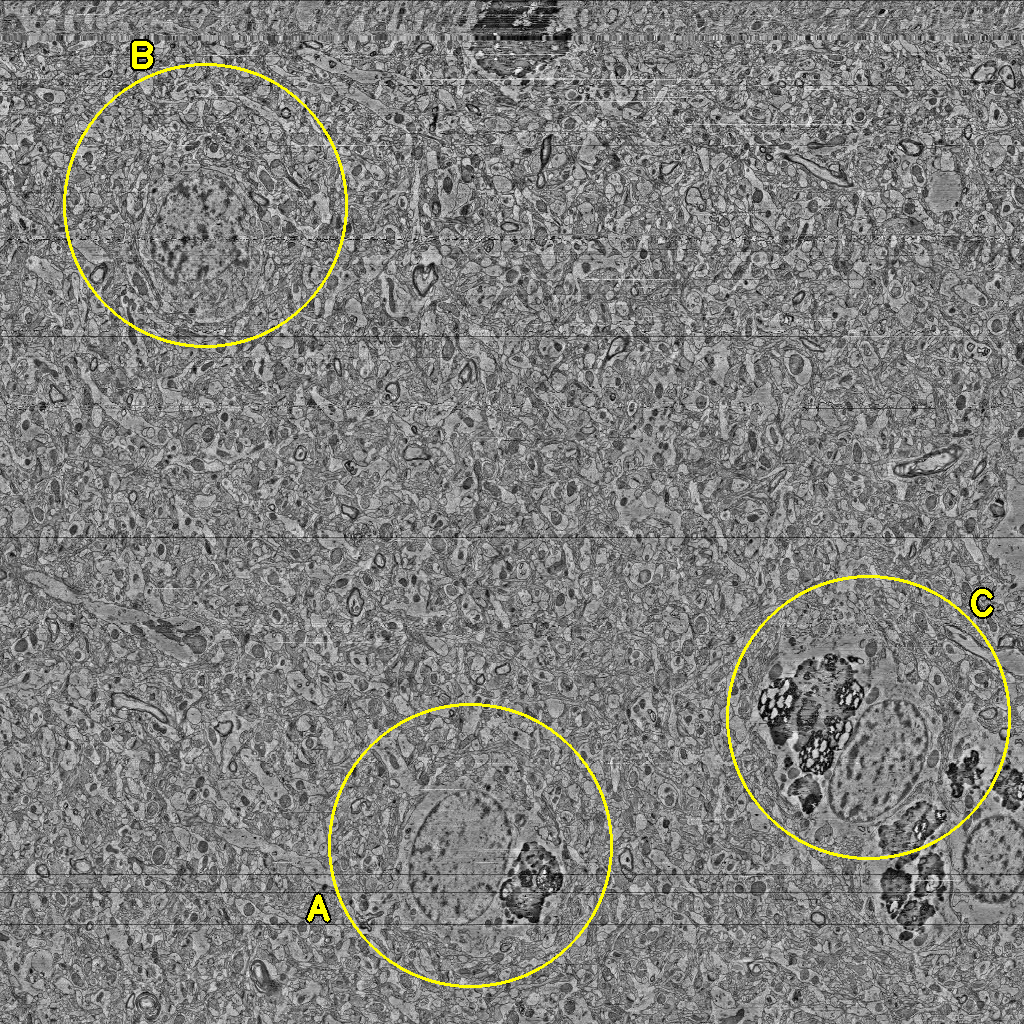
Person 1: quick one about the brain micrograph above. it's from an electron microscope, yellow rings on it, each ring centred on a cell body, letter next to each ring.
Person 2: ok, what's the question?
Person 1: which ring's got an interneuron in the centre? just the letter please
B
